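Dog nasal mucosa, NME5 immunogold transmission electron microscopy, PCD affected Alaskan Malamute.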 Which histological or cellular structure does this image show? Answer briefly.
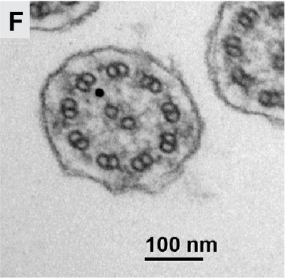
Ciliary cross sections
